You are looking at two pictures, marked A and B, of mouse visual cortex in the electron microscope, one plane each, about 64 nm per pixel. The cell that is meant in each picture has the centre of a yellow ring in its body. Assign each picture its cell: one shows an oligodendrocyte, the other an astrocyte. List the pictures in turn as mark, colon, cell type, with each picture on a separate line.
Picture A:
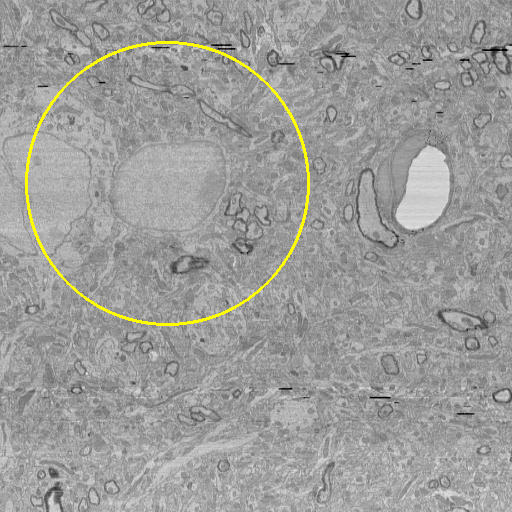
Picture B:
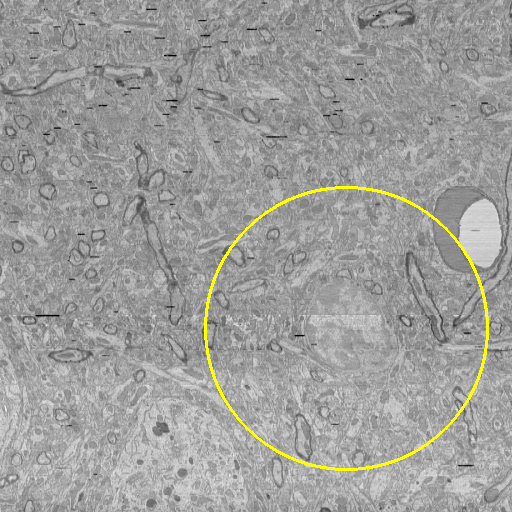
A: astrocyte
B: oligodendrocyte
